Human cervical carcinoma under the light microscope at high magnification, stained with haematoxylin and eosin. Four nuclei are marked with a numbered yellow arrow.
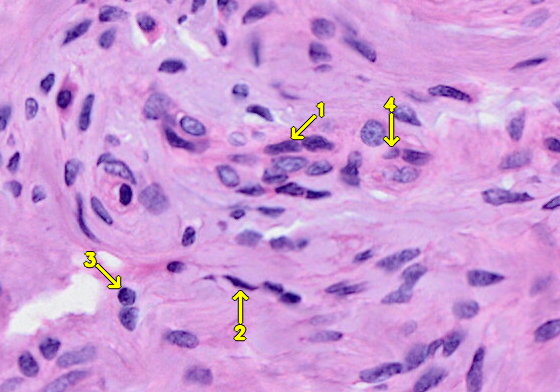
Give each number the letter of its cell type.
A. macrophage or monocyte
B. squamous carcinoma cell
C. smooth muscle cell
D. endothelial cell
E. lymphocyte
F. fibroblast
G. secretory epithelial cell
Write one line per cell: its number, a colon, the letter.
1: D
2: F
3: E
4: D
